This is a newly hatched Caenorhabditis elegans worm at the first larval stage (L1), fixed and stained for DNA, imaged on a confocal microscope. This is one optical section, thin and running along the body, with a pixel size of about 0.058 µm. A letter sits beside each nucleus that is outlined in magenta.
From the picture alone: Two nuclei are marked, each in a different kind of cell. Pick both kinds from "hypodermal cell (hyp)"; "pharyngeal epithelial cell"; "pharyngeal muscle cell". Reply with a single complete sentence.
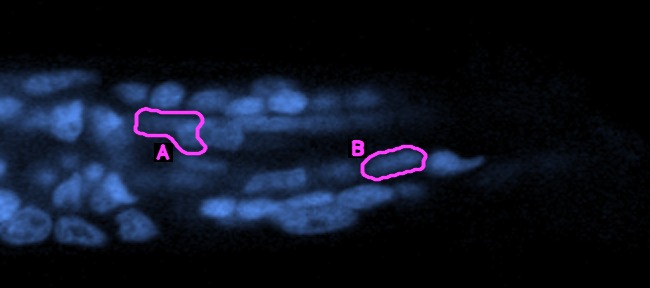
B belongs to a pharyngeal muscle cell, and A to a pharyngeal epithelial cell.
